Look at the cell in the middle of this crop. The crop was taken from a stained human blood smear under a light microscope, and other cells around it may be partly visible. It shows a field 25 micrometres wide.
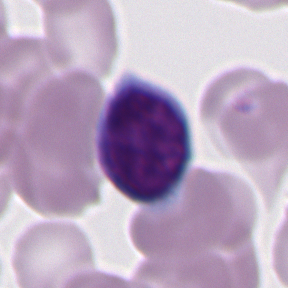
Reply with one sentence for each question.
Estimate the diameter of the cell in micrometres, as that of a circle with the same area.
Taken as a circle, the cell has a diameter of about 10 micrometres.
